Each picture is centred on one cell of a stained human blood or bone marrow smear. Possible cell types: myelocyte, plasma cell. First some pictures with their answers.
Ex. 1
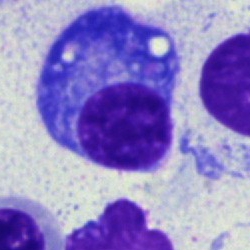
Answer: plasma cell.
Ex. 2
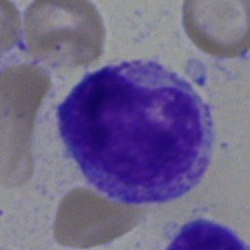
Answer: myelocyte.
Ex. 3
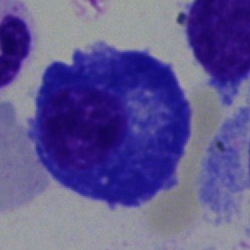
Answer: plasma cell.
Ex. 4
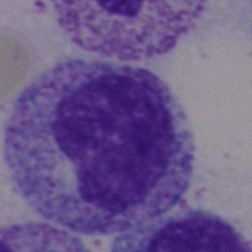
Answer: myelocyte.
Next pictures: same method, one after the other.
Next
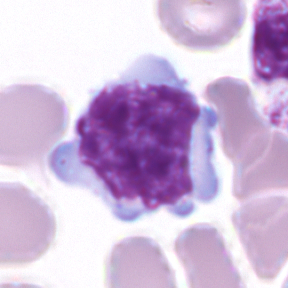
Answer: plasma cell.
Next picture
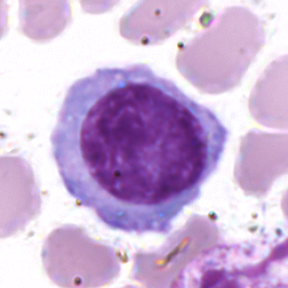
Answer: plasma cell.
